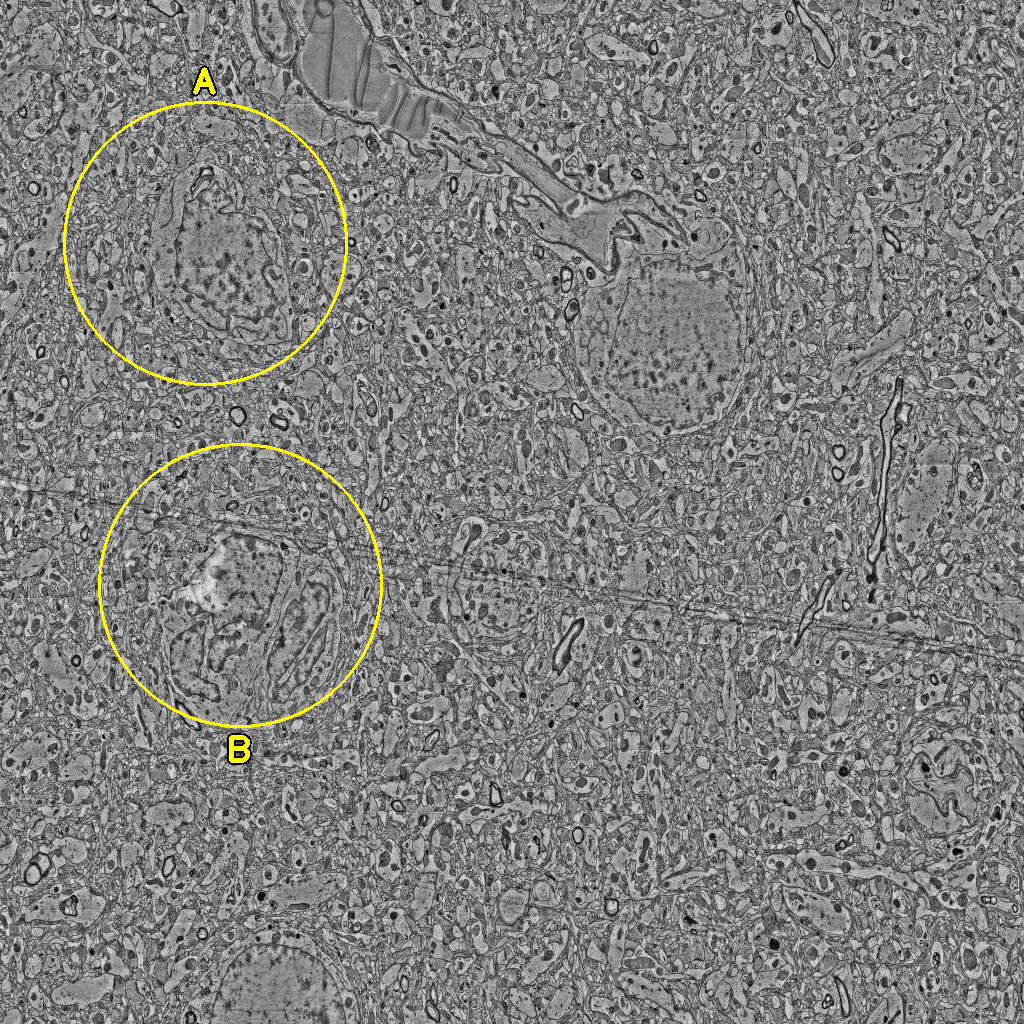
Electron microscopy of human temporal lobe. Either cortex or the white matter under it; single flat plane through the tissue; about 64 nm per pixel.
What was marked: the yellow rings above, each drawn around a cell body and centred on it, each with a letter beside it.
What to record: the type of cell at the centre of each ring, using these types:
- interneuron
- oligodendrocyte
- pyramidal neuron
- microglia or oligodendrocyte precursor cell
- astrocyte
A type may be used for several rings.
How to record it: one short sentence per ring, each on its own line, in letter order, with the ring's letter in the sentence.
Centred in ring A is an interneuron.
Centred in ring B is a microglial cell or oligodendrocyte precursor cell.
